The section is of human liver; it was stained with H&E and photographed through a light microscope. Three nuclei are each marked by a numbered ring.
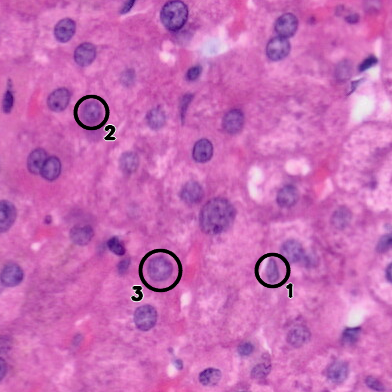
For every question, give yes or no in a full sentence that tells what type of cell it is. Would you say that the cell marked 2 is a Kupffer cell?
No, what number 2 shows is a hepatocyte, not a Kupffer cell.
